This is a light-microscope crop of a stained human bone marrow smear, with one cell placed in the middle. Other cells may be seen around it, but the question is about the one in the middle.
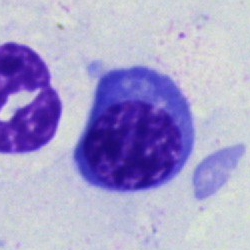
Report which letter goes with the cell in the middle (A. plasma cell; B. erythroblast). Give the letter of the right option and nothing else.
B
